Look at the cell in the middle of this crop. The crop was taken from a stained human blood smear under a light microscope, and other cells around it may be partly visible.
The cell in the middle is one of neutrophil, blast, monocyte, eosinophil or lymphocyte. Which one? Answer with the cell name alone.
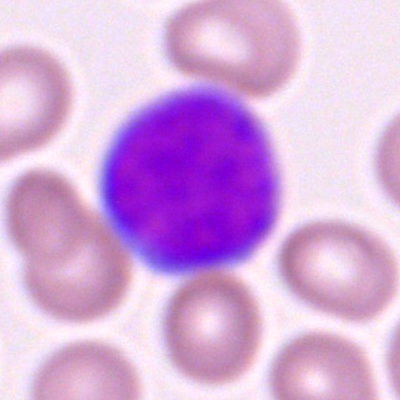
blast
